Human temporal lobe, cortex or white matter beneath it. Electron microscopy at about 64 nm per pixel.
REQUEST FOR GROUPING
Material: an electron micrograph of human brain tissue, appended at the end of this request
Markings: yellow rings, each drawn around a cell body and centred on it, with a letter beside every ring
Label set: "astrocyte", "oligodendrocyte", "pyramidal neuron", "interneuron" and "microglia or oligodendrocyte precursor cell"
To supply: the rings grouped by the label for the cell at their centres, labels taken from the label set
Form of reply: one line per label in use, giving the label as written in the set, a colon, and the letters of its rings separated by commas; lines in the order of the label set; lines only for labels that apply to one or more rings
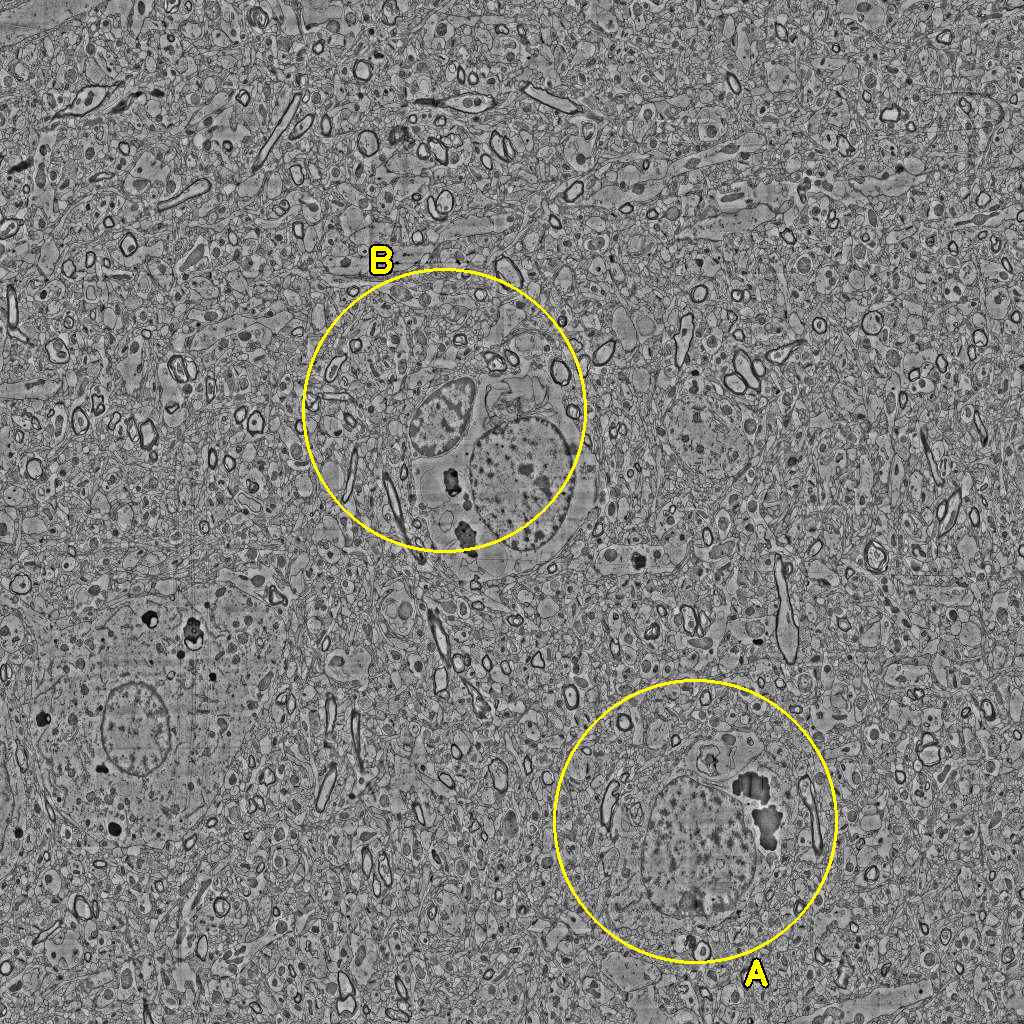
interneuron: A
microglia or oligodendrocyte precursor cell: B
